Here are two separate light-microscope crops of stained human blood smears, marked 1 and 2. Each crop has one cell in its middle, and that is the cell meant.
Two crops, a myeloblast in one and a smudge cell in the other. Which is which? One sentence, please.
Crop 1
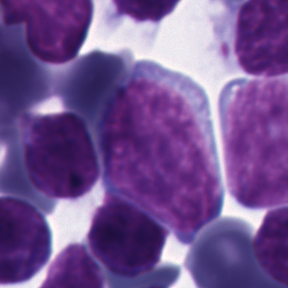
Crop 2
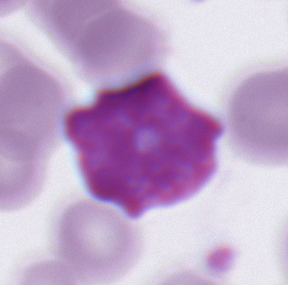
Crop 1 is a myeloblast, whereas a smudge cell is found in crop 2.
